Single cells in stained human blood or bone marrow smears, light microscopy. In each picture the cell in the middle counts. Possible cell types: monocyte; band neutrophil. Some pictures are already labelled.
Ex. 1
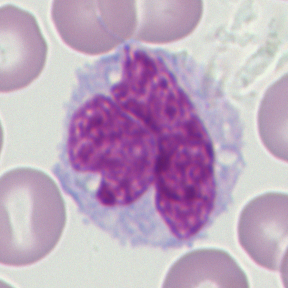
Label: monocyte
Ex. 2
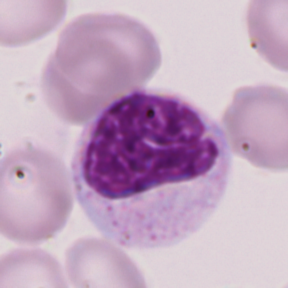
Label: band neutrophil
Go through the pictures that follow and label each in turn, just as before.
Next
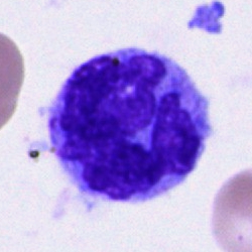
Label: monocyte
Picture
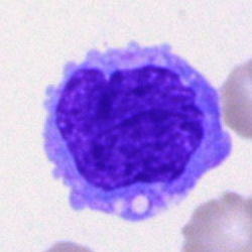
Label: monocyte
